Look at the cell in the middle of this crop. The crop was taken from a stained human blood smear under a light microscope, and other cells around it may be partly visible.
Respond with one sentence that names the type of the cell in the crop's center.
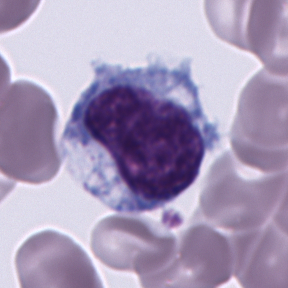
The crop centres on a single cell, and that cell is a monocyte.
